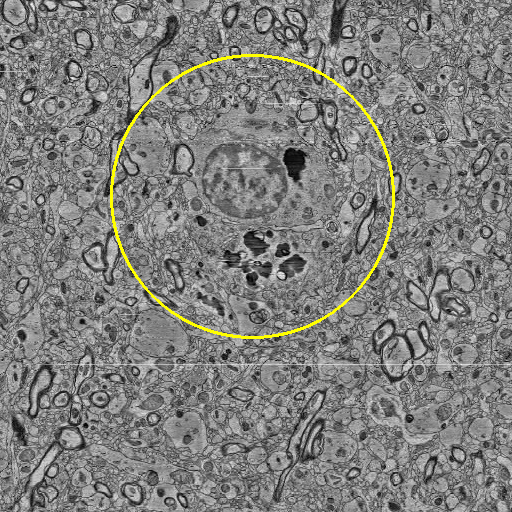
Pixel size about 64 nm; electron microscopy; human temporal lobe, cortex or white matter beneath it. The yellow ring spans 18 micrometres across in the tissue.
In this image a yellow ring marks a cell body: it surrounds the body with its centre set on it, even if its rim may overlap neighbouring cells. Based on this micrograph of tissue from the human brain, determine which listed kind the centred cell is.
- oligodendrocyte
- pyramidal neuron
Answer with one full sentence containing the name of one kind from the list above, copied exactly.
It is an oligodendrocyte whose body the yellow ring encloses at its centre.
